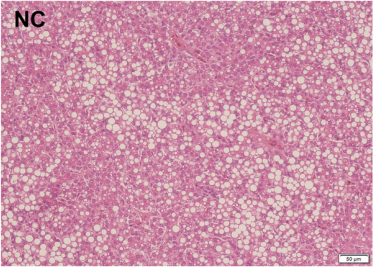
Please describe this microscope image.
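This section of liver shows hepatocytes heavily loaded with fat. Throughout the field, round clear vacuoles of widely varying size, from small droplets to large spaces several times the size of a nucleus, occupy the cytoplasm of the cells, giving the tissue a bubbly, lace-like look. The orderly cords of hepatocytes are hard to follow because the vacuoles crowd the parenchyma. This appearance is that of fatty change, or steatosis, of the liver.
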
